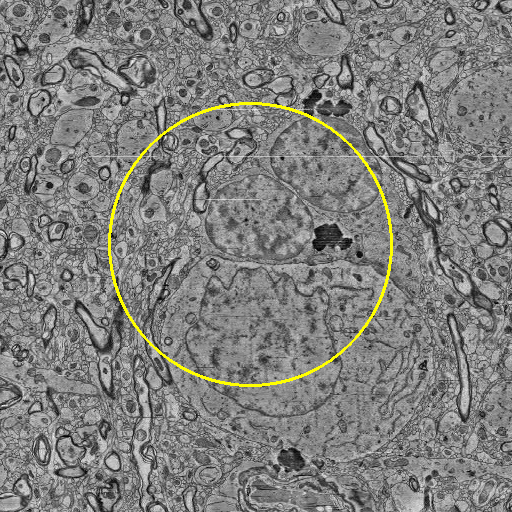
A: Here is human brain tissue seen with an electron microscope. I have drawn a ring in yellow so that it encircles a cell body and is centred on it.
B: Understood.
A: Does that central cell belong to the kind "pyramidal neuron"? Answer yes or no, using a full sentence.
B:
No, the central cell inside your yellow ring belongs to another kind.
